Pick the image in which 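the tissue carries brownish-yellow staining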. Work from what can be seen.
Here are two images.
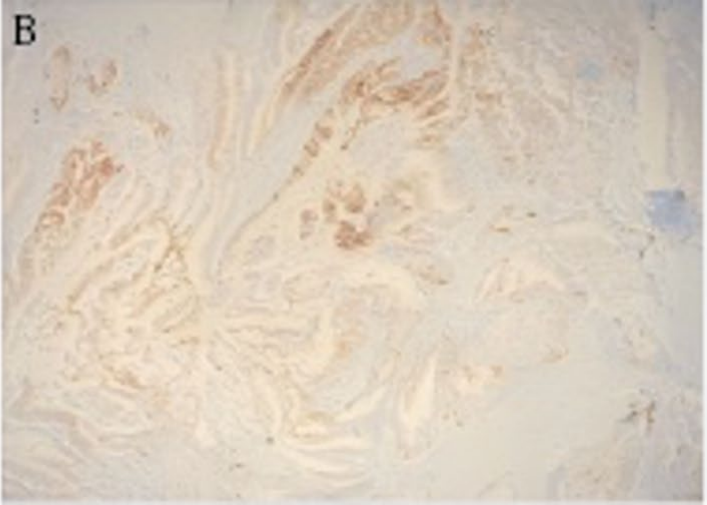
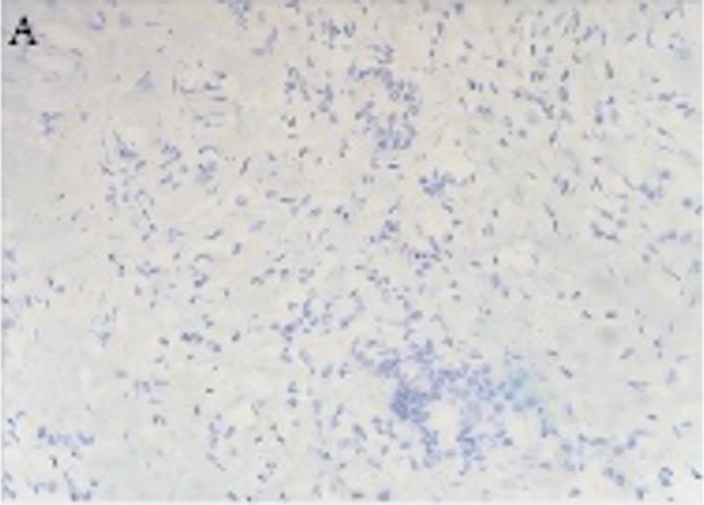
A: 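First image: irregular strands and clusters of tissue are stained brown to yellow-brown. Second image: only blue nuclei on a pale background, with no brown coloration.
Answer: the first image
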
